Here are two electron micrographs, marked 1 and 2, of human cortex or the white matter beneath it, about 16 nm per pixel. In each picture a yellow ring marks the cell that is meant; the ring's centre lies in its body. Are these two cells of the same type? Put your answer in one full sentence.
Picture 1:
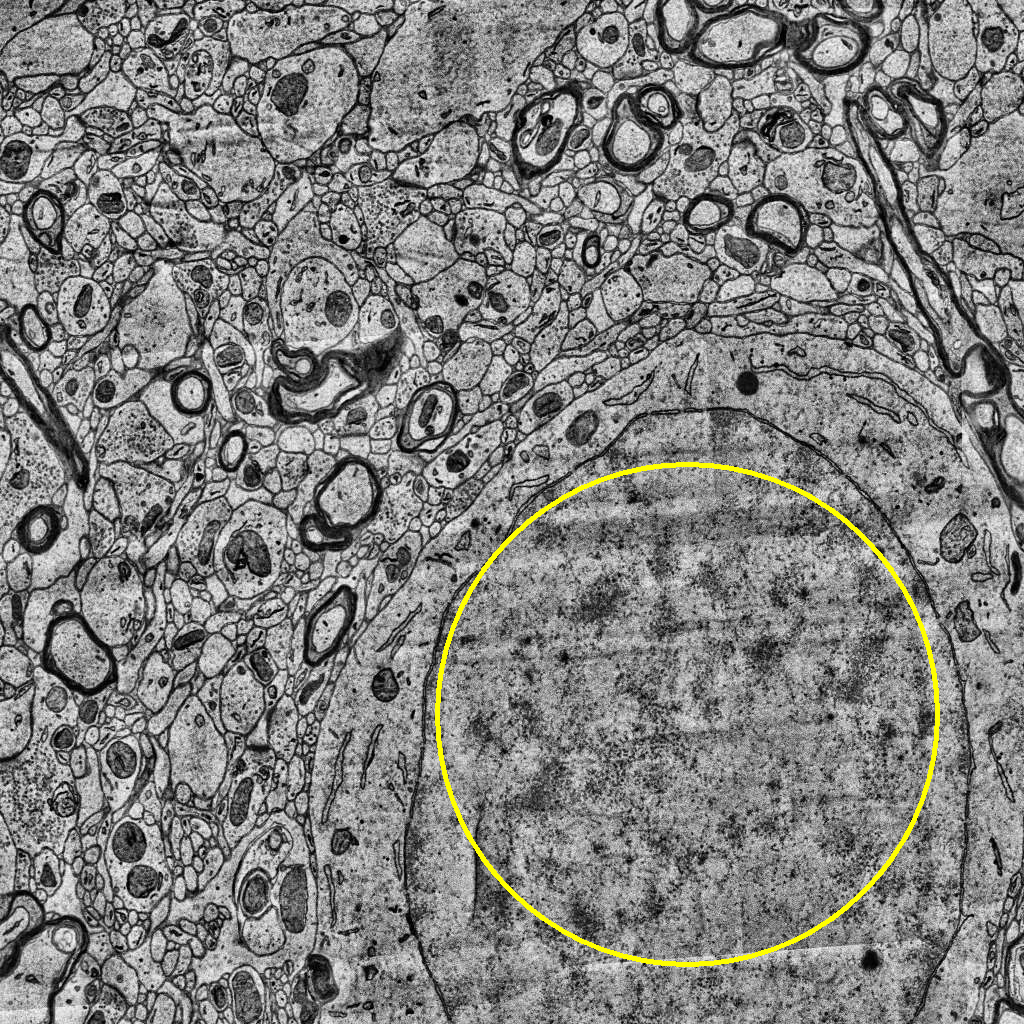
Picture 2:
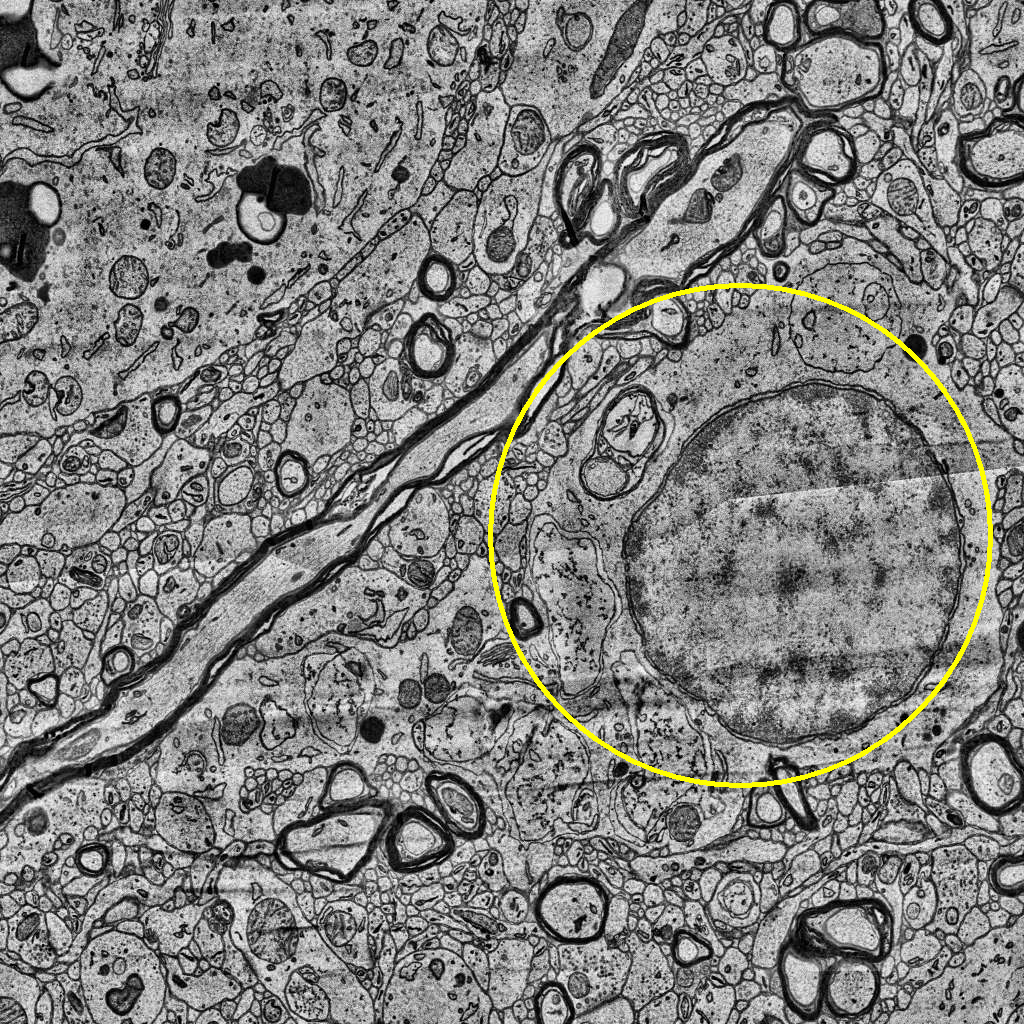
No, they differ: the cell is a pyramidal neuron in picture 1 and an astrocyte in picture 2.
